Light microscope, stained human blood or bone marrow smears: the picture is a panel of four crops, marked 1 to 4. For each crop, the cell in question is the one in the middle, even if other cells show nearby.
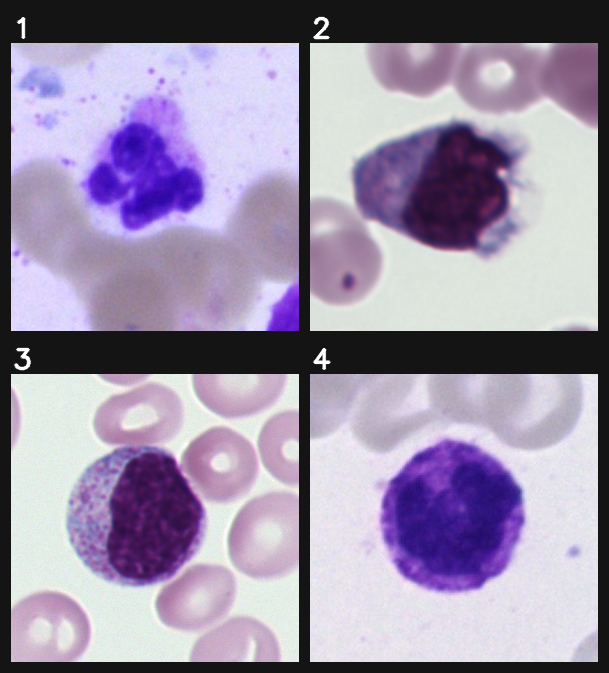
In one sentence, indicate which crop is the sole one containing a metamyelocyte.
Crop 3 is where a metamyelocyte is shown.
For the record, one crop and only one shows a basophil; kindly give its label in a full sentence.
Crop 4 is the crop featuring a basophil at its center.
